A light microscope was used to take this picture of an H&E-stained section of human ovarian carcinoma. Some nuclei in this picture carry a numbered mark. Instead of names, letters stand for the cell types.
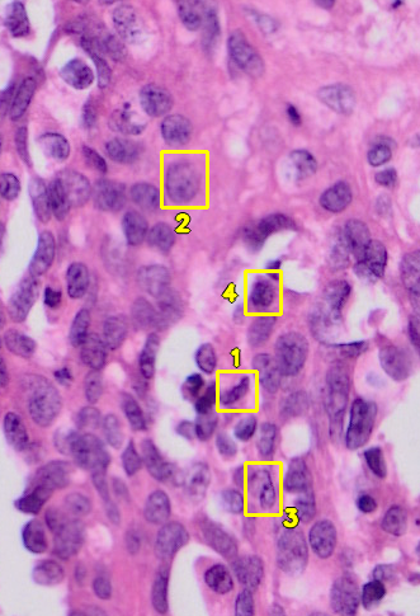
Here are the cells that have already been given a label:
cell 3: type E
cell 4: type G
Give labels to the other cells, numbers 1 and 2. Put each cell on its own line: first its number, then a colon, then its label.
1: type G
2: type G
